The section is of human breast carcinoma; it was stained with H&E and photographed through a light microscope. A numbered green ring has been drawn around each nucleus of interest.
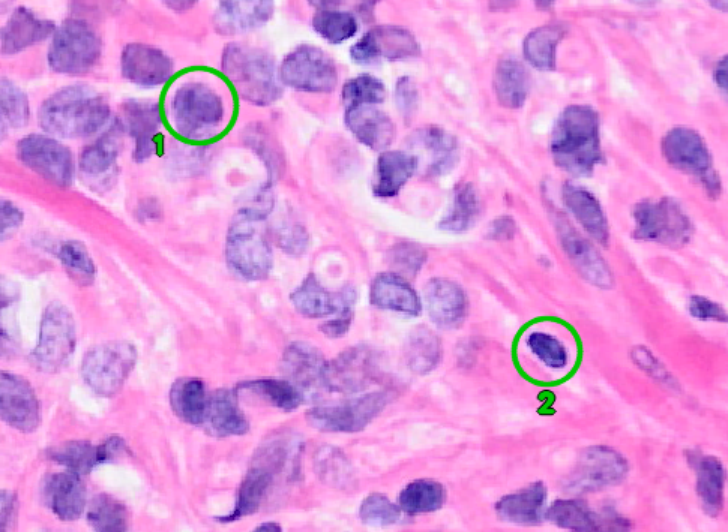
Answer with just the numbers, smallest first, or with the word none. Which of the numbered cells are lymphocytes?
2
